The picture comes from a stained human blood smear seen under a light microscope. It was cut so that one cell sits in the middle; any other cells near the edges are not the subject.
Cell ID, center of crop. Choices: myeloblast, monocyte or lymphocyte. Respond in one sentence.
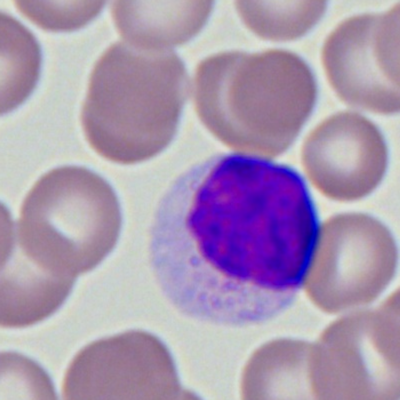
In the middle of this smear crop is a lymphocyte.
